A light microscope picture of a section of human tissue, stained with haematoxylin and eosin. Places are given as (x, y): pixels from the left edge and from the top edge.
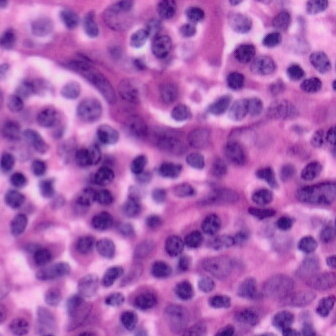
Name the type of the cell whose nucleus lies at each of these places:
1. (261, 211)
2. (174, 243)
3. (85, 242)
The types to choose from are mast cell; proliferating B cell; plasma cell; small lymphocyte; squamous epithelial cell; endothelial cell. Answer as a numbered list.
1. squamous epithelial cell
2. plasma cell
3. plasma cell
